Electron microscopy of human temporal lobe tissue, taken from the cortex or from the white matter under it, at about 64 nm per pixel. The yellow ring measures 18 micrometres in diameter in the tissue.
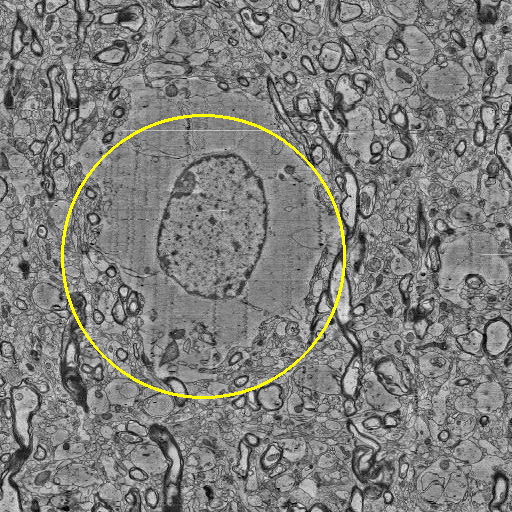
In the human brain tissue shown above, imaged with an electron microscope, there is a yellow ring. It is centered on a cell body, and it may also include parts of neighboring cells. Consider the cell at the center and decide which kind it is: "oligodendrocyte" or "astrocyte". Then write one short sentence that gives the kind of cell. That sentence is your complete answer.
This centered cell body is that of an astrocyte.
